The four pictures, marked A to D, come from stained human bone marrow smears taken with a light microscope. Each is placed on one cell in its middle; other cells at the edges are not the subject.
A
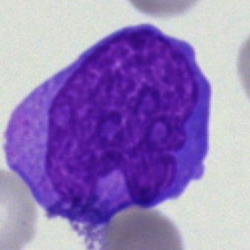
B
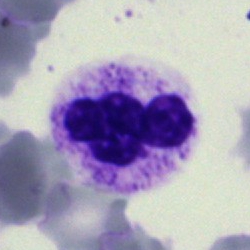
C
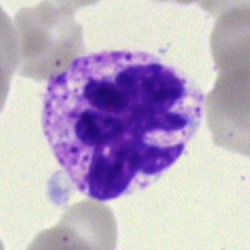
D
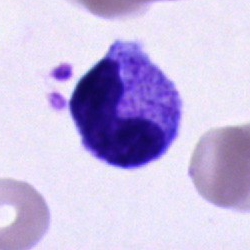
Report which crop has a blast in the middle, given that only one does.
A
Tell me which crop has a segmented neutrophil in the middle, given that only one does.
B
